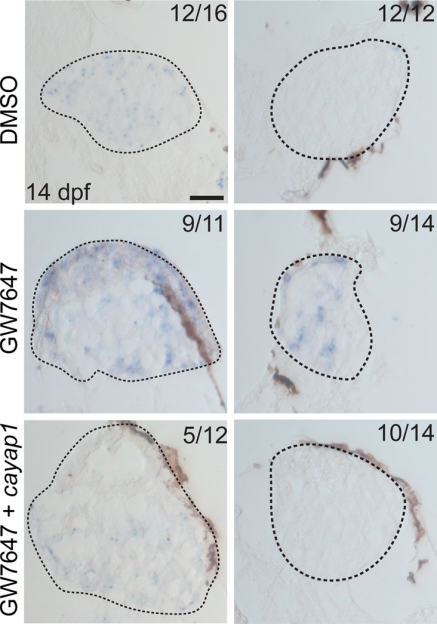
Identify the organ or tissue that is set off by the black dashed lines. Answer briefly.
livers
